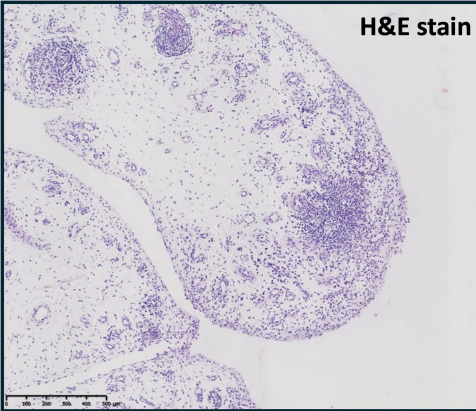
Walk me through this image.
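Villous fronds of inflamed tissue from an arthritic joint, made of loose pale-pink stroma with many small blood vessels and heavy infiltration by small round cells with dark purple nuclei. A large dense aggregate of these cells lies near the right-hand surface, and two smaller round aggregates lie at the upper left. Between the aggregates, scattered dark nuclei are spread through the stroma and gather around vessels. A thin layer of cells covers the surface of the fronds. Clefts separate adjacent fronds on the left side.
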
